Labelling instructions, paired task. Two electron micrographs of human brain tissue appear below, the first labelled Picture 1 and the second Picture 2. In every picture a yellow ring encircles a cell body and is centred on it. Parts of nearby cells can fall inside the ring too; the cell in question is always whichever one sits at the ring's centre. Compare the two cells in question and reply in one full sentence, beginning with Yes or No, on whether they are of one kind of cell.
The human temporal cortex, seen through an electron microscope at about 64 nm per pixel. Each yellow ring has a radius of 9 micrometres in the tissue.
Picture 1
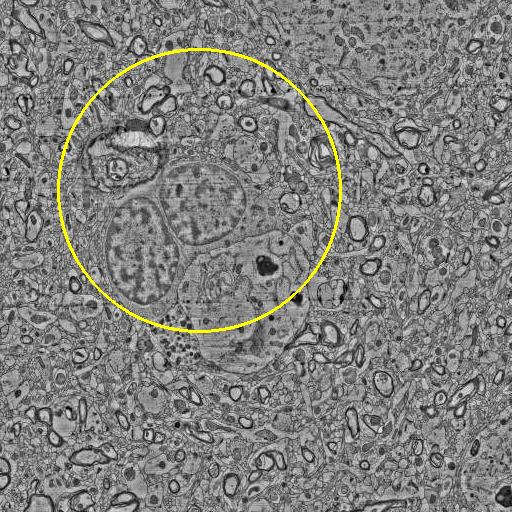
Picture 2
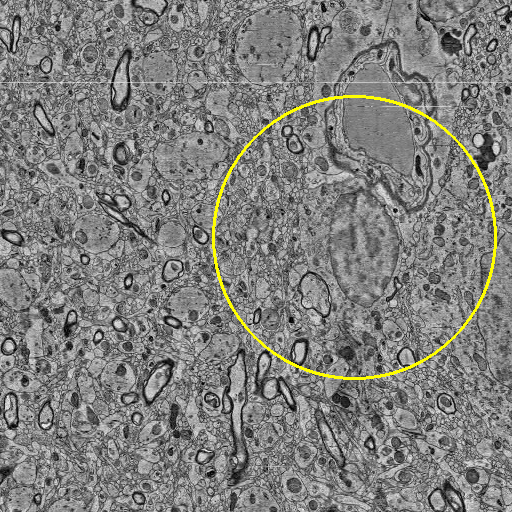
Yes, the two cells at the ring centres in Picture 1 and Picture 2 are of one kind.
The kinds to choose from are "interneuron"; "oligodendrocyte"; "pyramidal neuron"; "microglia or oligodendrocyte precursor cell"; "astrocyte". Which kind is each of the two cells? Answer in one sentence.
Each of the ringed cells, first and second, is an oligodendrocyte.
